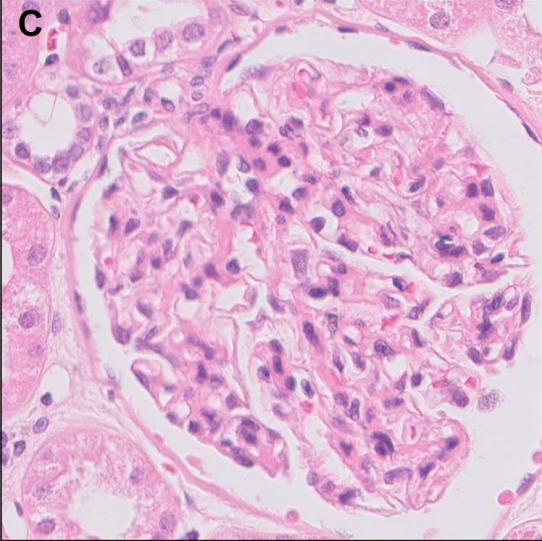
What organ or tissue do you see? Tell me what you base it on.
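A lobulated tuft of capillaries sits in a round space. A thin capsule encloses the tuft with an open space around it. Tubules with pink cytoplasm border it.
Conclusion: glomeruli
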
